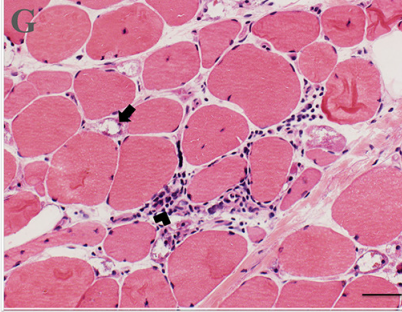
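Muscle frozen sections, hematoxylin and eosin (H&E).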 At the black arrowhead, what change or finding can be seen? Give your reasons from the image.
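Mild inflammatory reaction. A cluster of small round dark nuclei lies between muscle fibers. The cells crowd the spaces around several fibers.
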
